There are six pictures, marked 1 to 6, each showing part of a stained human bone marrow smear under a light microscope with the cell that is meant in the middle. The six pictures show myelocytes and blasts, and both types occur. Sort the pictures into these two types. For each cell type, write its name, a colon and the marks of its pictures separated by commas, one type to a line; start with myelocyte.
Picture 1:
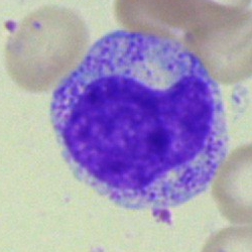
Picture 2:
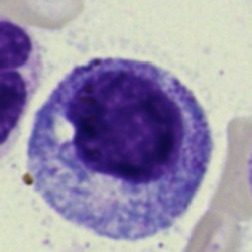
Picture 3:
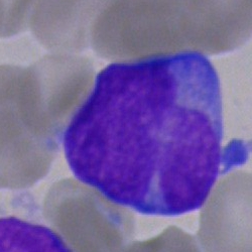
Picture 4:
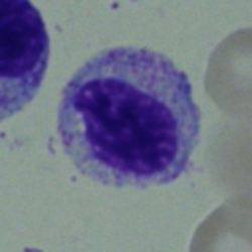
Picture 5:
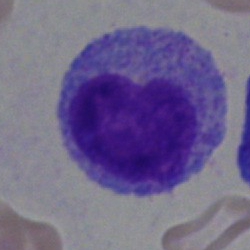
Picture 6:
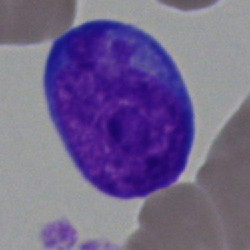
myelocyte: 1, 2, 4, 5
blast: 3, 6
